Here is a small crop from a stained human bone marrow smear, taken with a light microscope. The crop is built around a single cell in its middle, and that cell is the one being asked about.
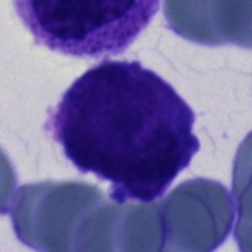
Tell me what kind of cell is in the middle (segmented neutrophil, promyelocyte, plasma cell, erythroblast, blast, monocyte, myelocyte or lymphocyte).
blast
